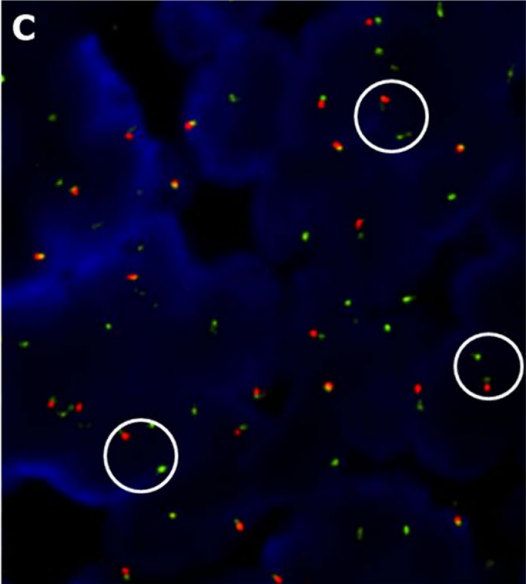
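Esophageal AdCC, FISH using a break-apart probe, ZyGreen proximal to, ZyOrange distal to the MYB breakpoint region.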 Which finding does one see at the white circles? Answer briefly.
translocation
